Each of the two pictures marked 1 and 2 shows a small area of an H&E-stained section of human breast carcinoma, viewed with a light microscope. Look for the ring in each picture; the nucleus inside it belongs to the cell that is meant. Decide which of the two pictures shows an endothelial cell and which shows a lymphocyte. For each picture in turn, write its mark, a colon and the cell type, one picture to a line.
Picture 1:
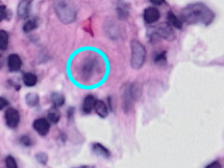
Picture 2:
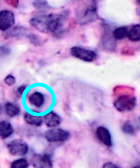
1: endothelial cell
2: lymphocyte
